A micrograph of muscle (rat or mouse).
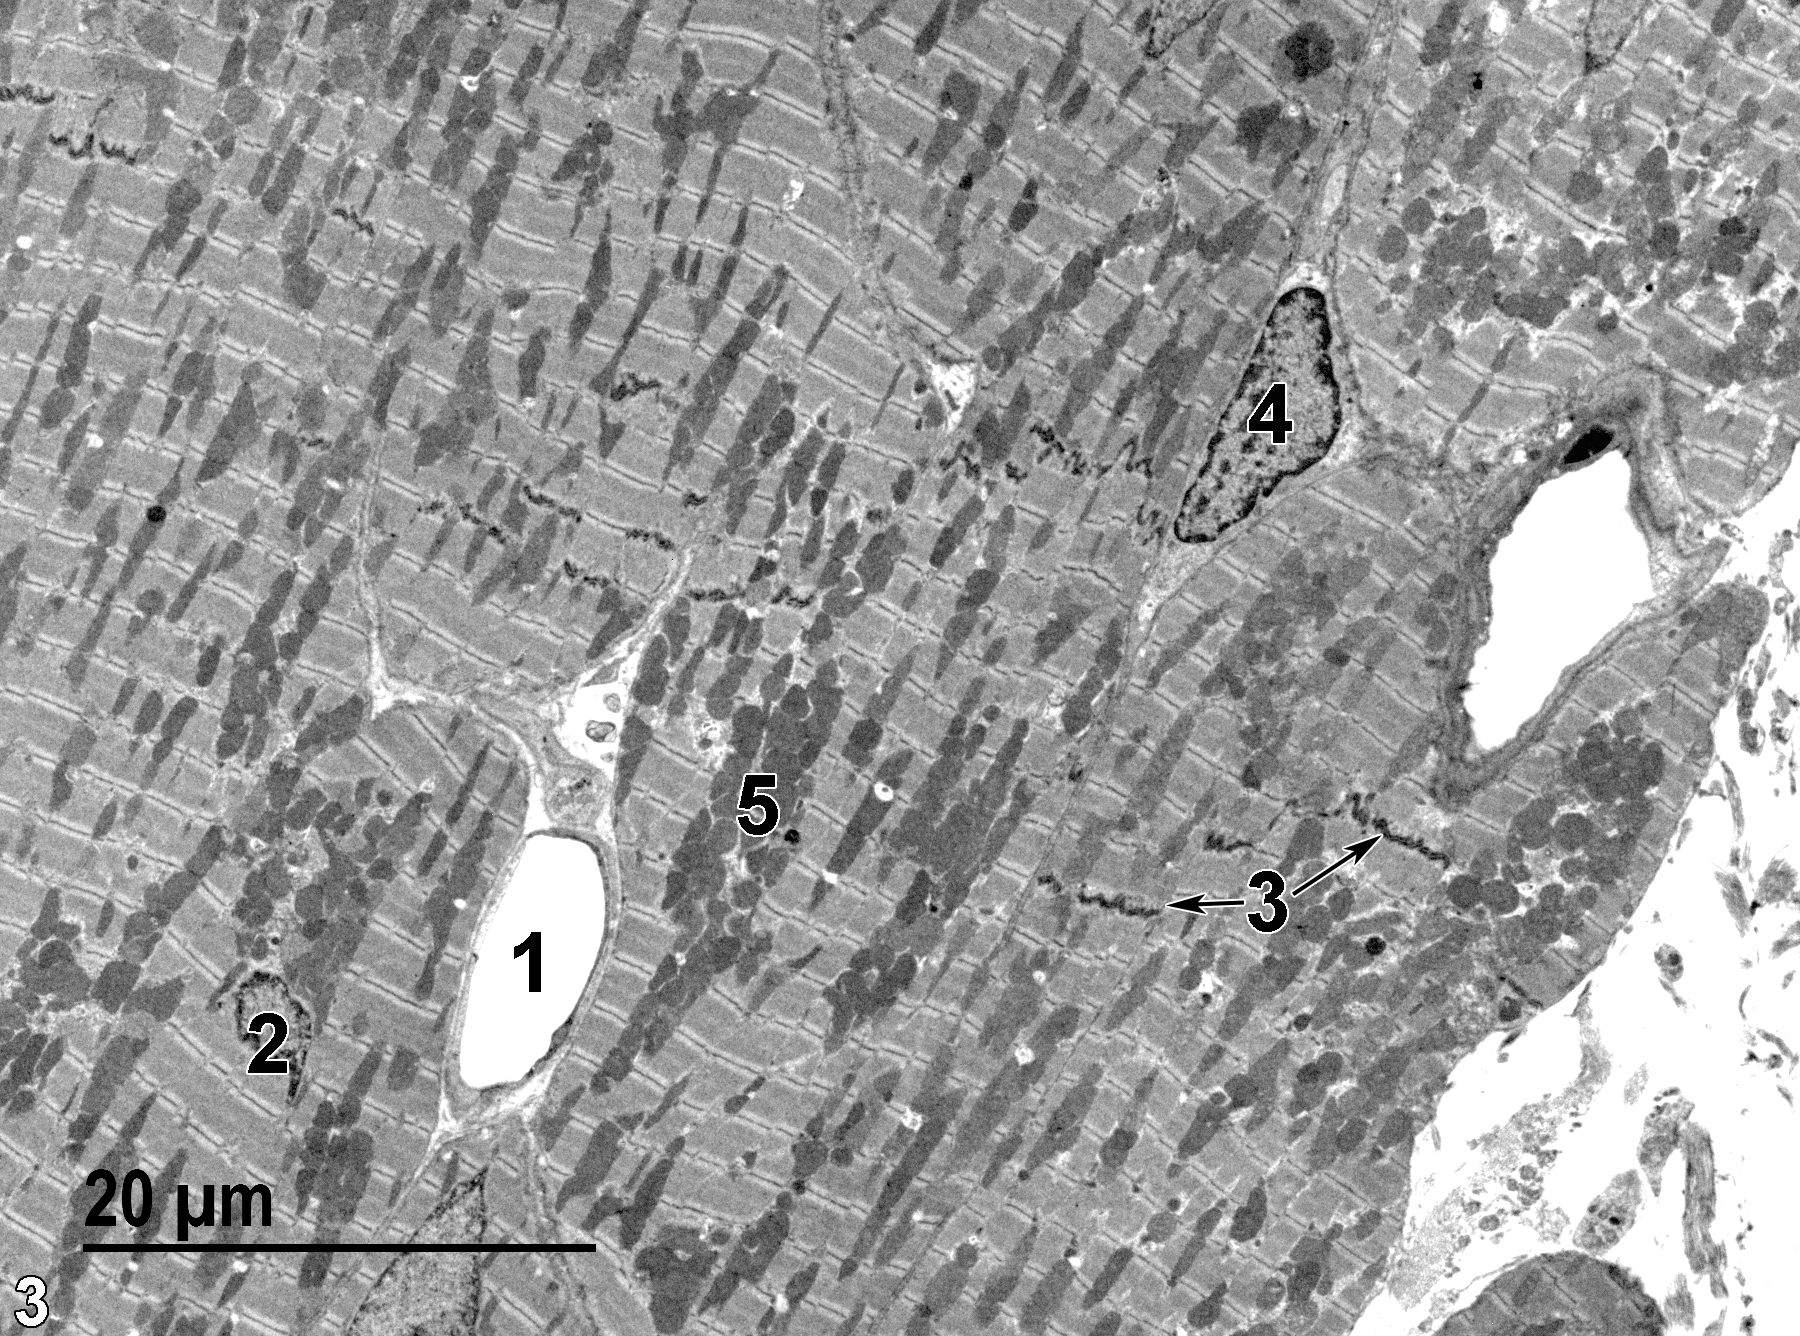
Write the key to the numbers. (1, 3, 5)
1 capillary lumen
3 intercalated disks
5 mitochondria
